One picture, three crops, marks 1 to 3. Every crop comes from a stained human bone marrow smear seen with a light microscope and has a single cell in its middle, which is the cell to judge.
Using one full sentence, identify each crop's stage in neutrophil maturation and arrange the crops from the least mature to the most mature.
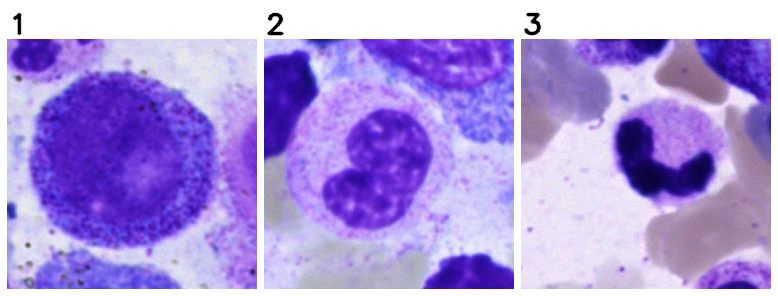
The maturation sequence, earliest to latest, reads crop 1 (a promyelocyte), crop 2 (a band neutrophil) and crop 3 (a segmented neutrophil).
